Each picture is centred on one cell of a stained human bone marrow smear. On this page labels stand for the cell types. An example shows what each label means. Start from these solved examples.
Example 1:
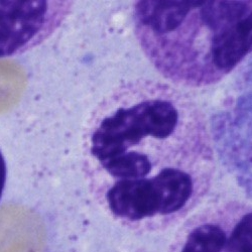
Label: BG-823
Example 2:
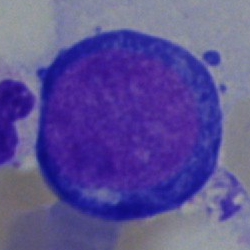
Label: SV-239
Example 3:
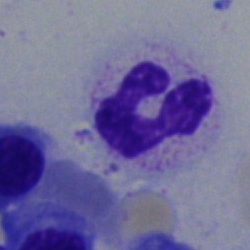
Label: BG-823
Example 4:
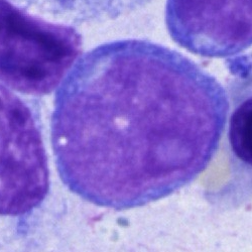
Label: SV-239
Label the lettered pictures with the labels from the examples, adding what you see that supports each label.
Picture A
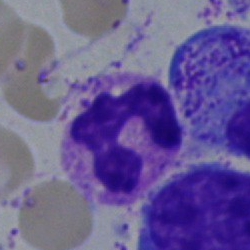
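BG-823: The chromatin is dark and coarsely clumped.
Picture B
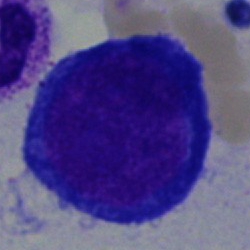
SV-239: The cytoplasm forms only a narrow rim around the nucleus.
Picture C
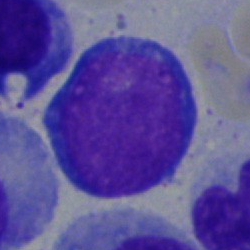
SV-239: The chromatin is fine and evenly spread rather than clumped.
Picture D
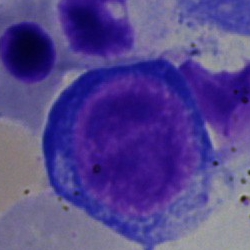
SV-239: The chromatin is finely granular rather than clumped.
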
